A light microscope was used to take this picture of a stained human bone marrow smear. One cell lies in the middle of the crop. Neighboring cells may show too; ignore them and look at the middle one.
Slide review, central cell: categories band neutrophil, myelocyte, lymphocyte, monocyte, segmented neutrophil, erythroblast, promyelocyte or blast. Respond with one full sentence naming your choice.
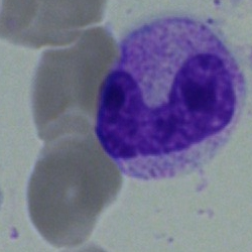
Occupying the centre of the crop is a band neutrophil.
